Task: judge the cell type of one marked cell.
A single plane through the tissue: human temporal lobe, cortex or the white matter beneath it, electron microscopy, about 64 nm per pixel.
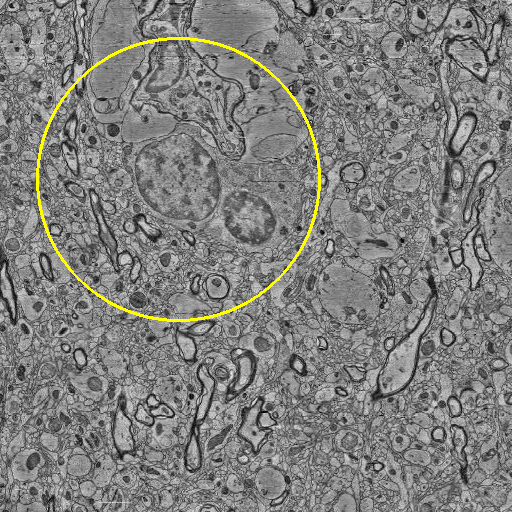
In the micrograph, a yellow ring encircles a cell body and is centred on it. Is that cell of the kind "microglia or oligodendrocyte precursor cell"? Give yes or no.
no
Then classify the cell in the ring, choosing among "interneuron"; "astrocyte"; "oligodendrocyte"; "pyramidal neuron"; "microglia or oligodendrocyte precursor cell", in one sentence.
The cell this ring marks is an oligodendrocyte.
